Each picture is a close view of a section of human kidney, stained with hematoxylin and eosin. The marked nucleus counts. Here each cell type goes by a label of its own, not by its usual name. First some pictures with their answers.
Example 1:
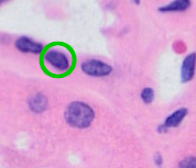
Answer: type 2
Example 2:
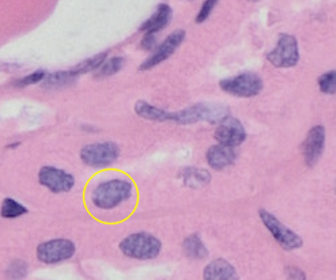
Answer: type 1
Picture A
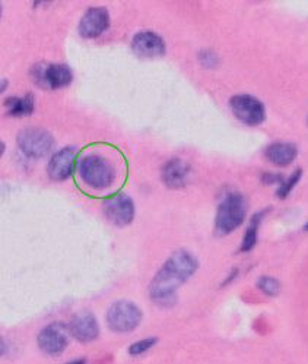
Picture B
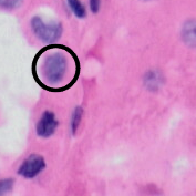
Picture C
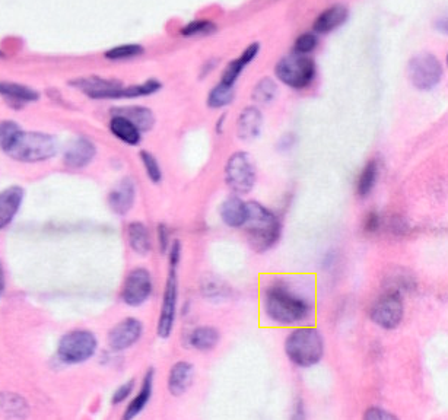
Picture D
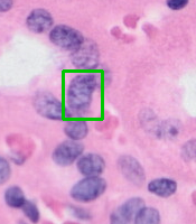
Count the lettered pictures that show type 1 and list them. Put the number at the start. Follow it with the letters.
1: B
